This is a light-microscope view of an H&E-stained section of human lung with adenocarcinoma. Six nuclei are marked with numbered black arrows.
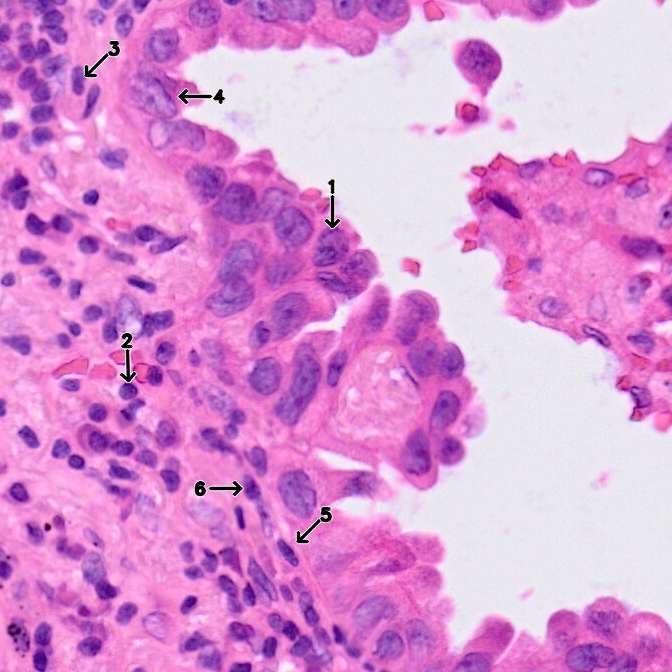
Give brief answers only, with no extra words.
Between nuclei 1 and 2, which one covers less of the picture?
2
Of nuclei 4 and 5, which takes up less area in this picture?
5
